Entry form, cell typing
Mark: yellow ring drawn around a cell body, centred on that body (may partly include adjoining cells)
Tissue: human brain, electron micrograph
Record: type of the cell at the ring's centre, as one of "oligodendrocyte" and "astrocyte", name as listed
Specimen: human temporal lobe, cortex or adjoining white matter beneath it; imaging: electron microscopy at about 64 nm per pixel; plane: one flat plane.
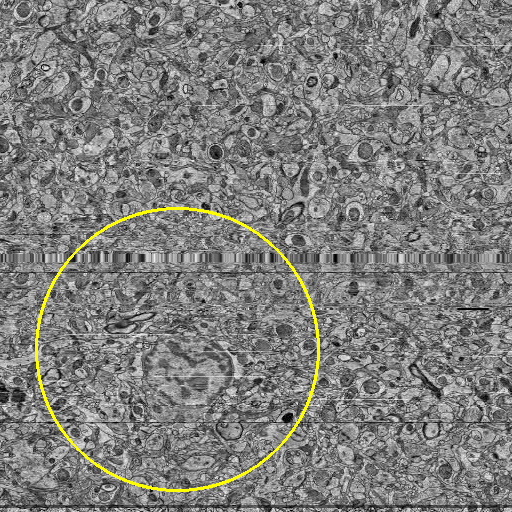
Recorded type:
oligodendrocyte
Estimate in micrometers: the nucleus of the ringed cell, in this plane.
In this plane, roughly 6 micrometres across.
